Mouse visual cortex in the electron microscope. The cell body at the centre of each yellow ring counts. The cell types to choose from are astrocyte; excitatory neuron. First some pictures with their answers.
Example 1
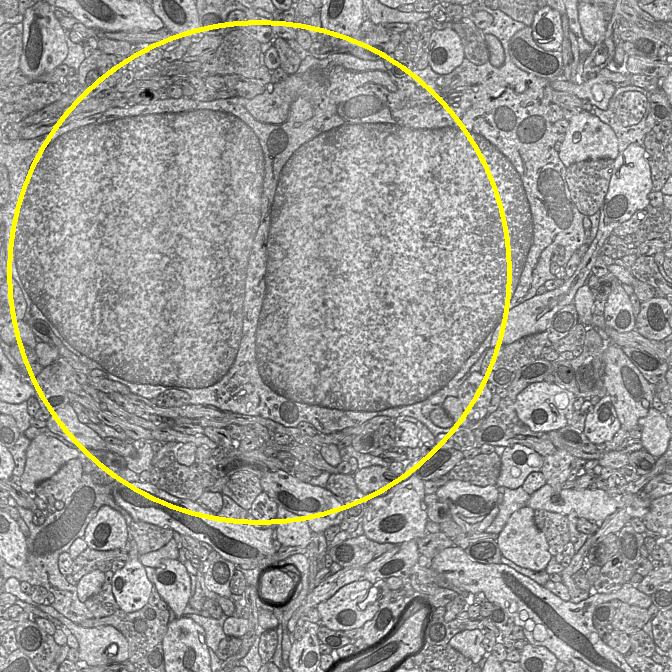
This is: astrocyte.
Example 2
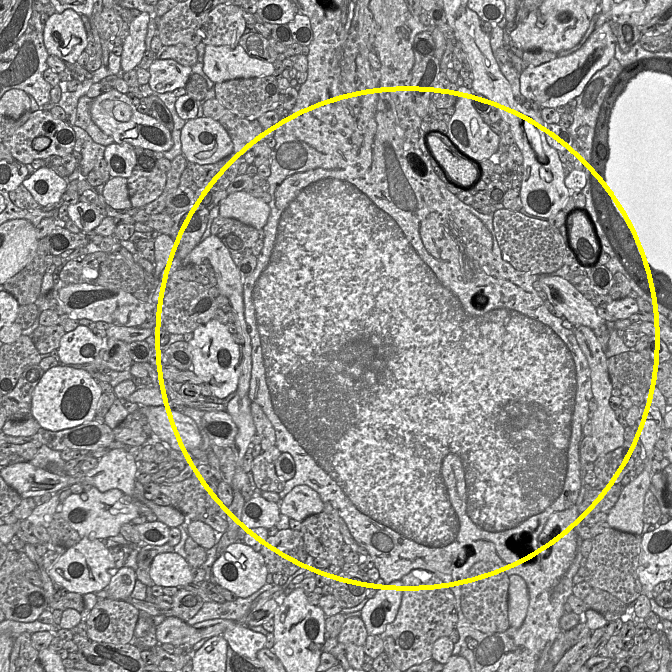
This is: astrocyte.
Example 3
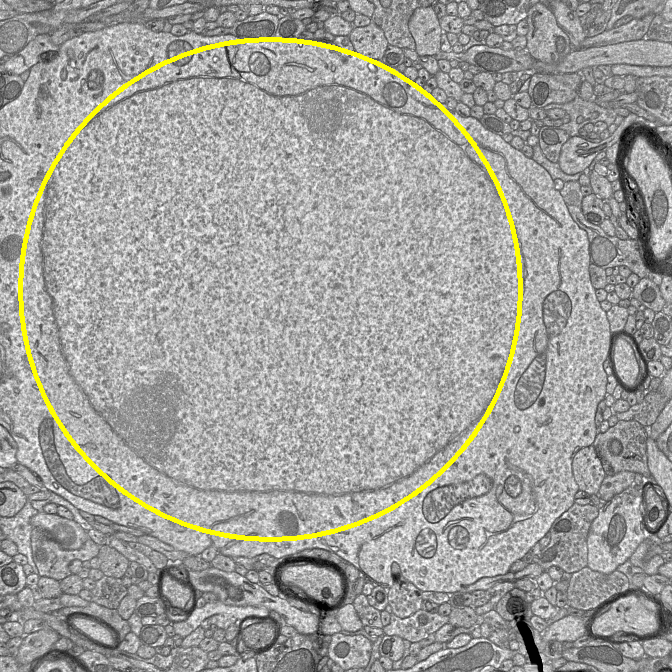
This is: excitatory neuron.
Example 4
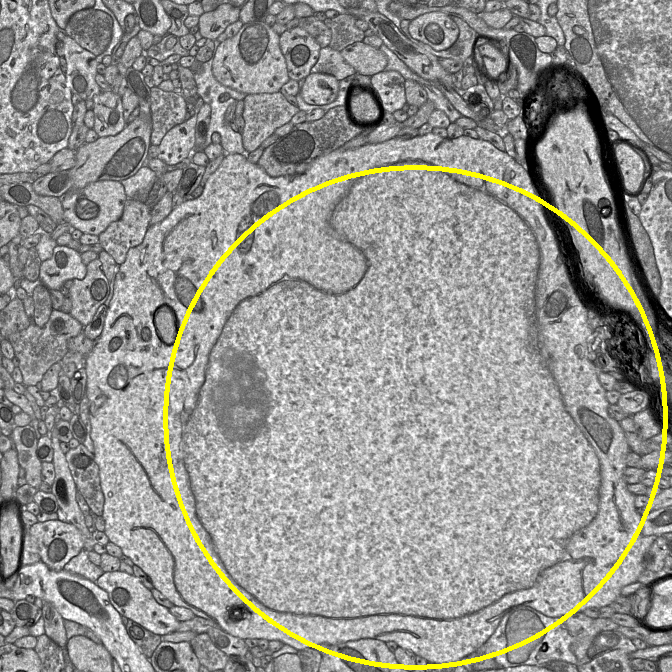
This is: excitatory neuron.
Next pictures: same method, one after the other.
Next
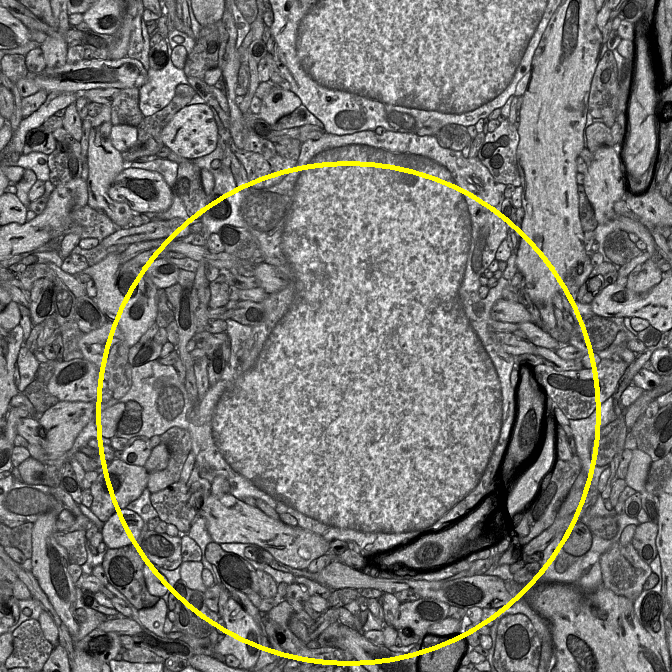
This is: astrocyte.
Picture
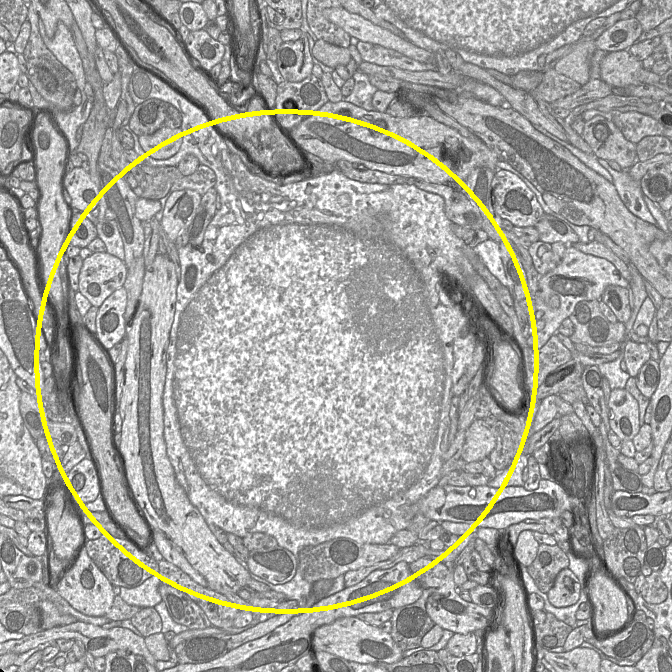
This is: astrocyte.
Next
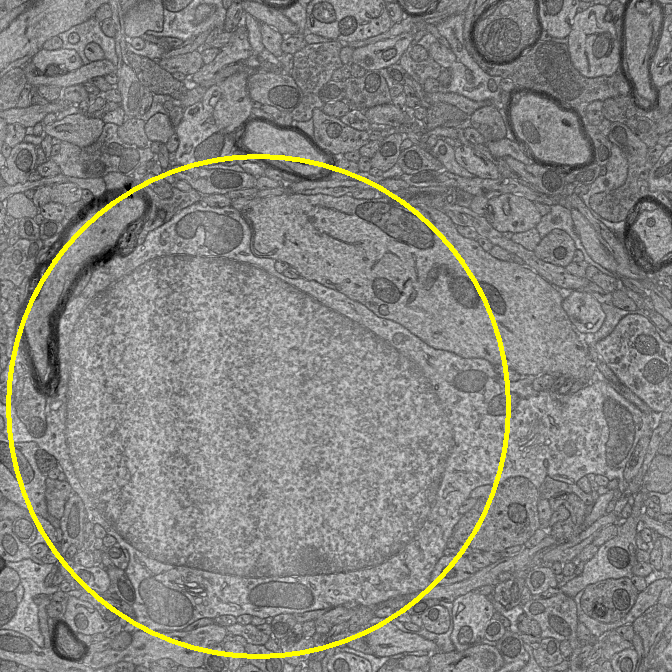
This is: astrocyte.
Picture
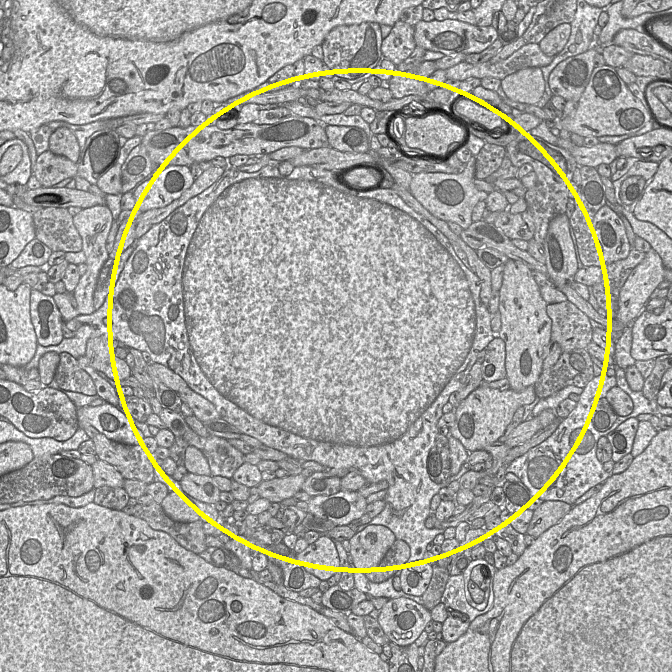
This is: astrocyte.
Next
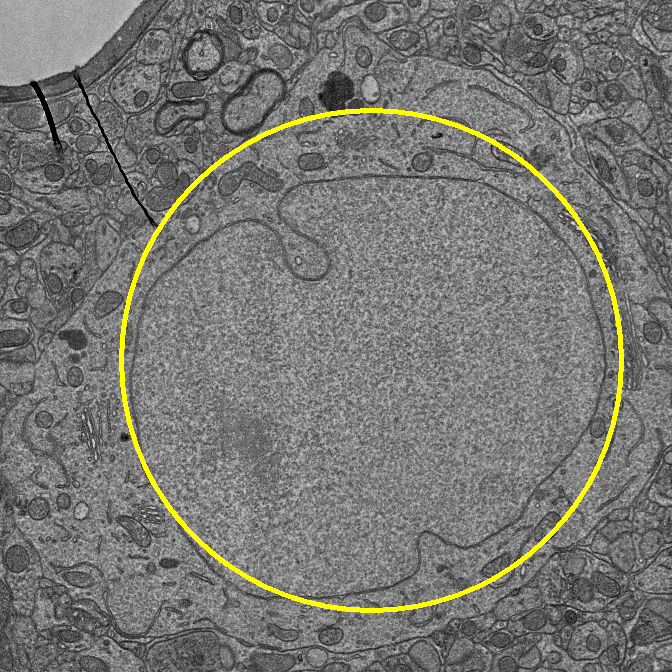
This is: excitatory neuron.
